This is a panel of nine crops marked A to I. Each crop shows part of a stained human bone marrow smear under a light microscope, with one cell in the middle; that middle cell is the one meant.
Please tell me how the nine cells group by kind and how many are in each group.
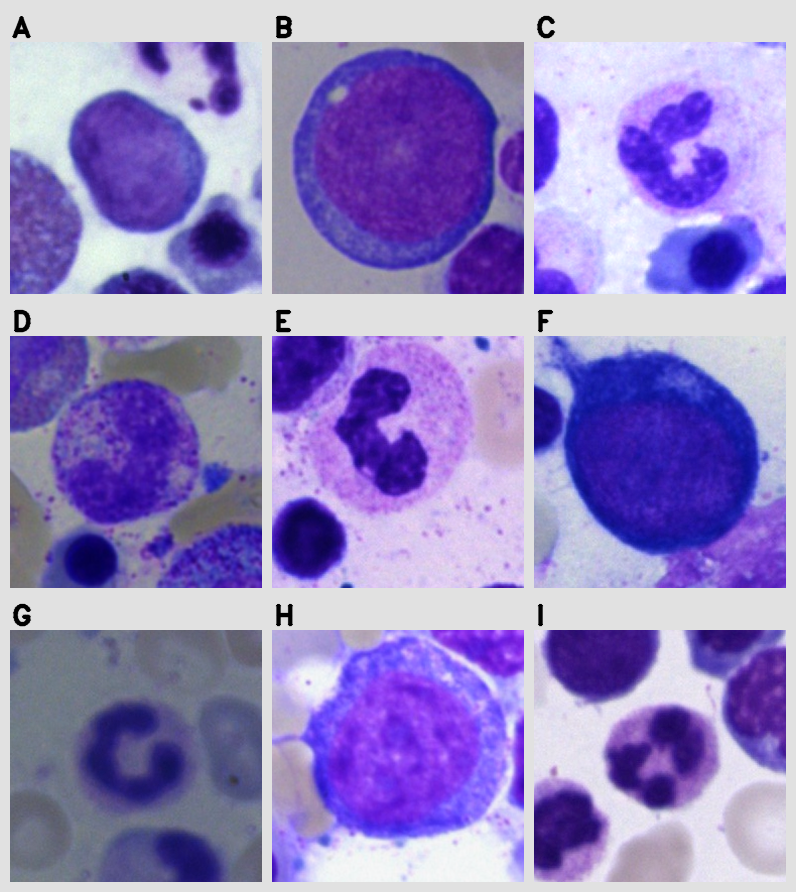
proerythroblast: 4
segmented neutrophil: 4
band neutrophil: 1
